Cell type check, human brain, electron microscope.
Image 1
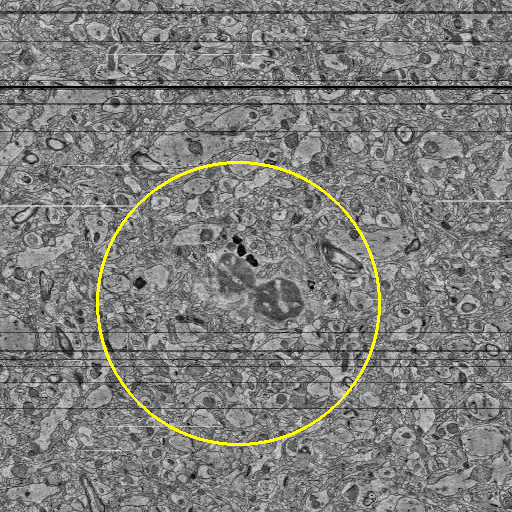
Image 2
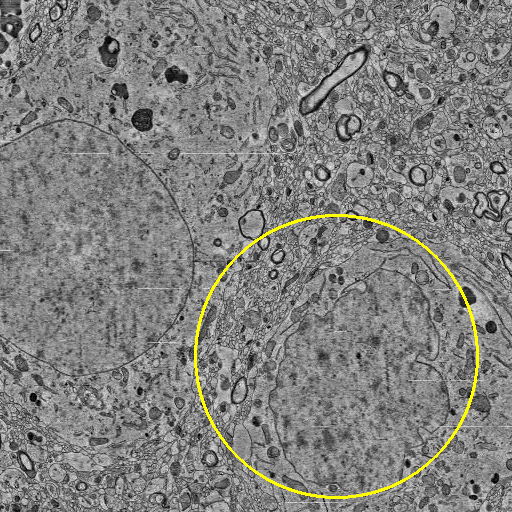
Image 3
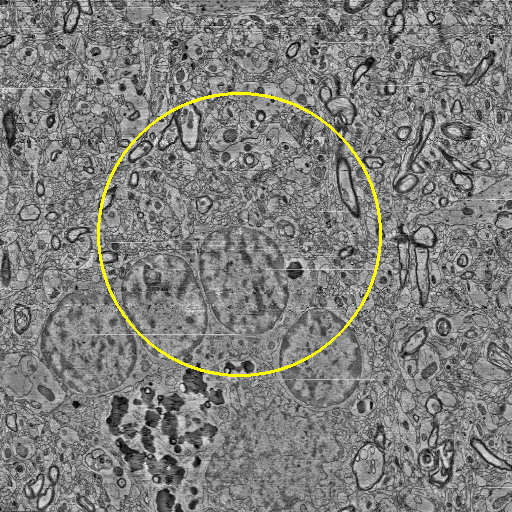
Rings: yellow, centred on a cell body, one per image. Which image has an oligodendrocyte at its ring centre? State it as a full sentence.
The ring in Image 3 is centred on it.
